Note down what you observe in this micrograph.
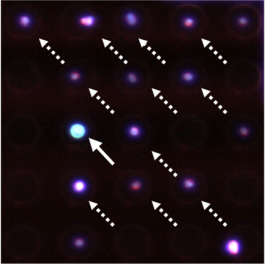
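Most occupied wells hold a single small round cell that glows purple to magenta against a dark background. One cell, at the solid arrow, is larger and glows a bright cyan-white, unlike all the others. The cells sit one per well in regular rows, and several wells are empty. Faint round outlines of the empty wells are visible in the background.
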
